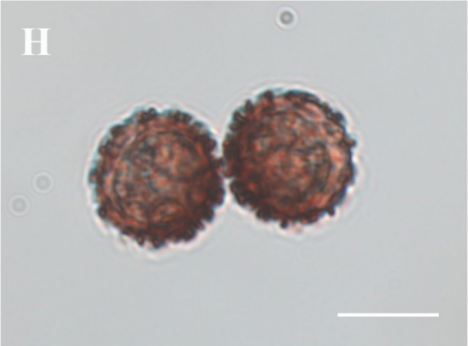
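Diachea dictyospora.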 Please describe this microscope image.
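The wall is ornamented with dark raised ridges that show as beads and bumps along the outline. A few small, pale, round particles lie scattered in the background.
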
